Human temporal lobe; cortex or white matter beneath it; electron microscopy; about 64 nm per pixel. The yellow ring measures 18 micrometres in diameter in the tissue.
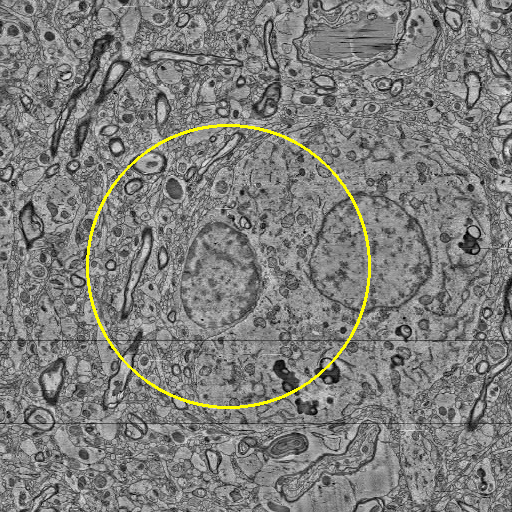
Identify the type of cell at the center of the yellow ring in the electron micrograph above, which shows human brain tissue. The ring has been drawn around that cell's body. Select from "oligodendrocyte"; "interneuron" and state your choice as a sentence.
The yellow ring is centered on the body of an oligodendrocyte.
